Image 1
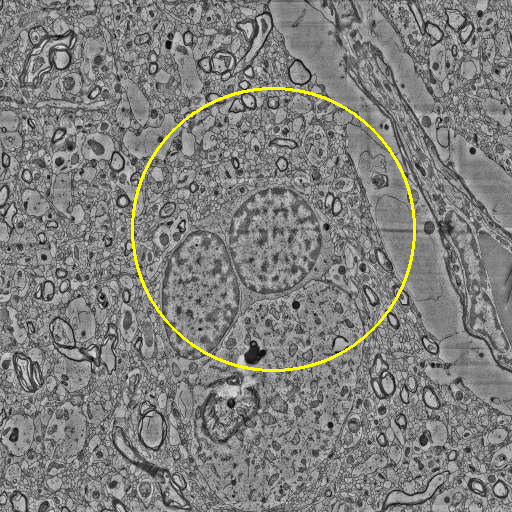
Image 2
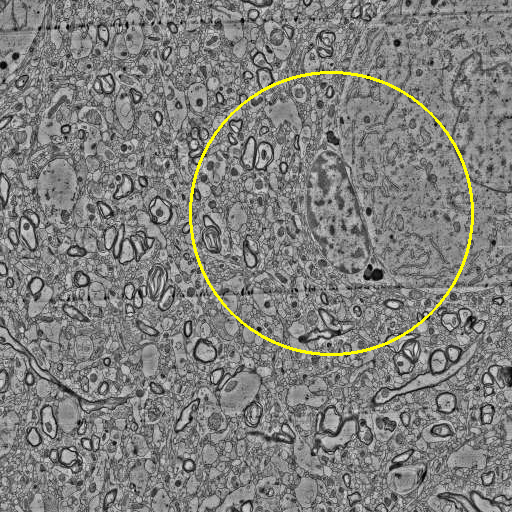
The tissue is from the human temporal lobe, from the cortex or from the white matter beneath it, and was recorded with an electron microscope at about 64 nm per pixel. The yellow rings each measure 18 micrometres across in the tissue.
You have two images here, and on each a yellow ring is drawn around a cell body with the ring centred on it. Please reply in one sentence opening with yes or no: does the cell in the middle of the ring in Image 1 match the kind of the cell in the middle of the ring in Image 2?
No, the two images show cells of two kinds at the centres of their rings.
